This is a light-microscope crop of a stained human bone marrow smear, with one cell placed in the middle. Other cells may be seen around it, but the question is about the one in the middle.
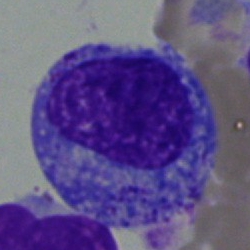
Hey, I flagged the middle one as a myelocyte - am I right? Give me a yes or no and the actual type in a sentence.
Yes, a myelocyte is present in the middle of the crop.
